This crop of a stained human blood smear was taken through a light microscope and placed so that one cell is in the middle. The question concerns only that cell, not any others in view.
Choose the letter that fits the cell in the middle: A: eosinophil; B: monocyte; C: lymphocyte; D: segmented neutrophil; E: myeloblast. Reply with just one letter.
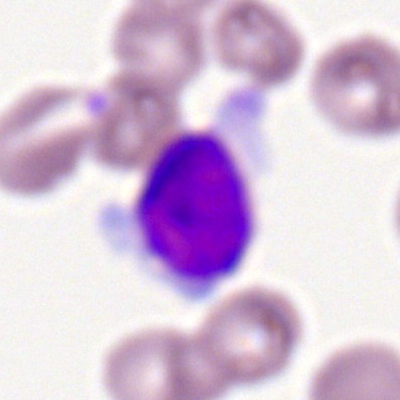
C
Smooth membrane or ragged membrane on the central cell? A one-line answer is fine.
The edge is uneven, and this unevenness takes the form of ragged stretches or projections.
